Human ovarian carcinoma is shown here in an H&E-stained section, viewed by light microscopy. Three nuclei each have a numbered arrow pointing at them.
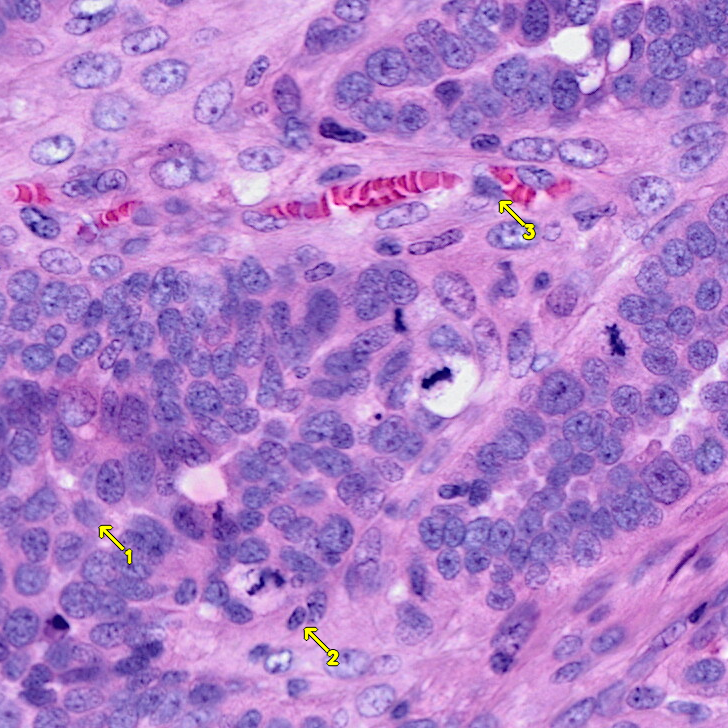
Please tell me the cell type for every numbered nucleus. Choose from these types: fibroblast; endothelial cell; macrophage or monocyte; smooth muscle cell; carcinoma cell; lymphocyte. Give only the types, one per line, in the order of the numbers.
carcinoma cell
lymphocyte
endothelial cell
